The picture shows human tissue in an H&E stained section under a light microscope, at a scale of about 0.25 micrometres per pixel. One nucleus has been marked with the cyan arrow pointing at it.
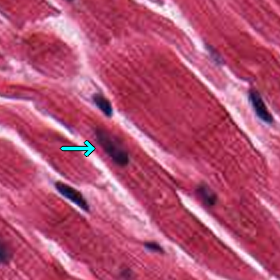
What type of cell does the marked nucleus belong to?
cardiomyocyte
